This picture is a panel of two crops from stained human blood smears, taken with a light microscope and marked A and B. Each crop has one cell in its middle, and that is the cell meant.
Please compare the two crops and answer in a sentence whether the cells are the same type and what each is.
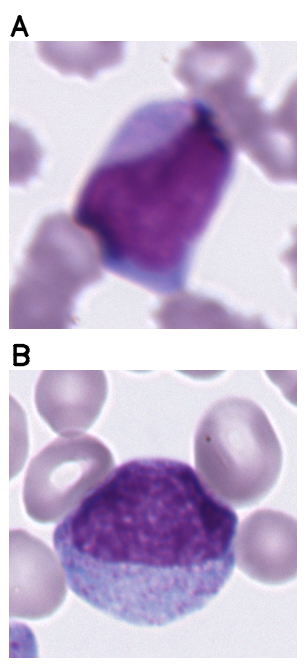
No, crop A shows a myeloblast and crop B a promyelocyte.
